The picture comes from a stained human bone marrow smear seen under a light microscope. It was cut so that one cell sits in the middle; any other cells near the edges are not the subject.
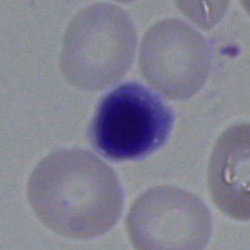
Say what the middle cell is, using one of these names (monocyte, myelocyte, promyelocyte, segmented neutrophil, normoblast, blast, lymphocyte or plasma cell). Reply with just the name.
normoblast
